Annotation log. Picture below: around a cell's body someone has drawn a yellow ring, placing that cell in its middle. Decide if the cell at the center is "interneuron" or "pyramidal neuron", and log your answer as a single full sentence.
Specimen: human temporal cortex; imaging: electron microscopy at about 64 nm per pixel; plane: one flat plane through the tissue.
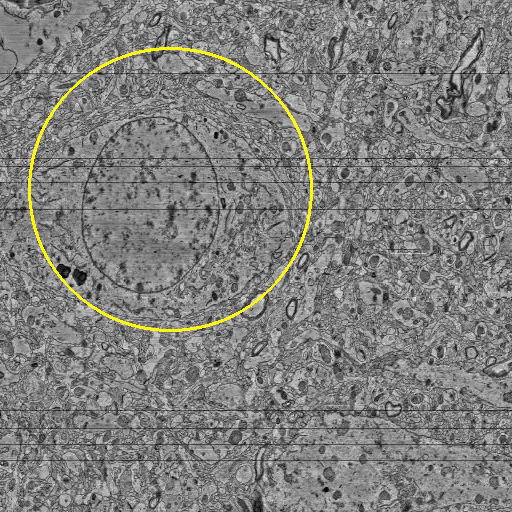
My entry records a pyramidal neuron as the cell sitting at the center of the yellow ring.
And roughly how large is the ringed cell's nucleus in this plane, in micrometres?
Roughly 12 micrometres by 9 micrometres, in this plane.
